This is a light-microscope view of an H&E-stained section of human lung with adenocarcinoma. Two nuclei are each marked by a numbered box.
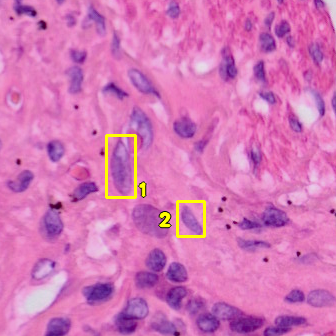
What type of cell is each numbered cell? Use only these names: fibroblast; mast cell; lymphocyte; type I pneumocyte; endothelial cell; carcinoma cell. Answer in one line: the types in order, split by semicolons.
endothelial cell; fibroblast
